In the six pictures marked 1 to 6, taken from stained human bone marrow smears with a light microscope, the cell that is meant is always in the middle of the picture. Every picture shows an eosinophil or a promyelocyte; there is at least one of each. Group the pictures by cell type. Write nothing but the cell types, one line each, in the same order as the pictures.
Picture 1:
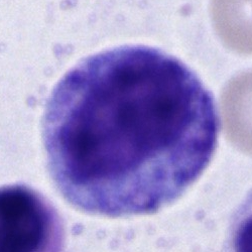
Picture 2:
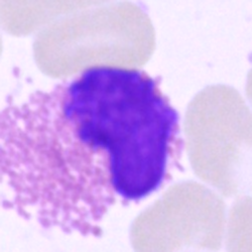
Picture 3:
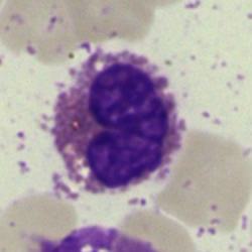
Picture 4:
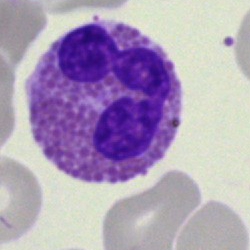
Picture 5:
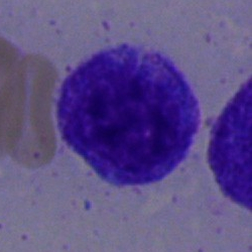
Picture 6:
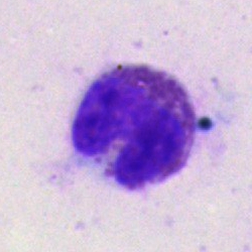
promyelocyte
eosinophil
eosinophil
eosinophil
promyelocyte
eosinophil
